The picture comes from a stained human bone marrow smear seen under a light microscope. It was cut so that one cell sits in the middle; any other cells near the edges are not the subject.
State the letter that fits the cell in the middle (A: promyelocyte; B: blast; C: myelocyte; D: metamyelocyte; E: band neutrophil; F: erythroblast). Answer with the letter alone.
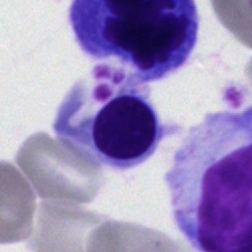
F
